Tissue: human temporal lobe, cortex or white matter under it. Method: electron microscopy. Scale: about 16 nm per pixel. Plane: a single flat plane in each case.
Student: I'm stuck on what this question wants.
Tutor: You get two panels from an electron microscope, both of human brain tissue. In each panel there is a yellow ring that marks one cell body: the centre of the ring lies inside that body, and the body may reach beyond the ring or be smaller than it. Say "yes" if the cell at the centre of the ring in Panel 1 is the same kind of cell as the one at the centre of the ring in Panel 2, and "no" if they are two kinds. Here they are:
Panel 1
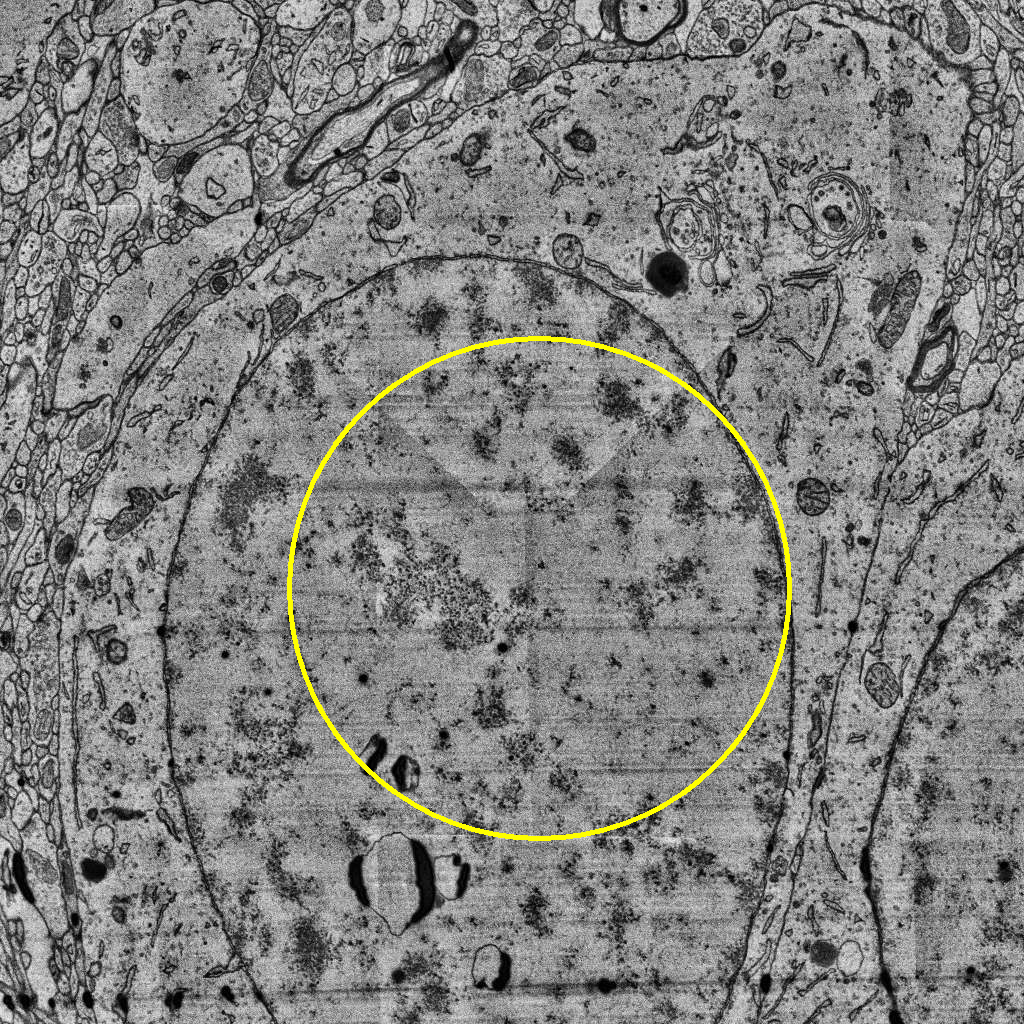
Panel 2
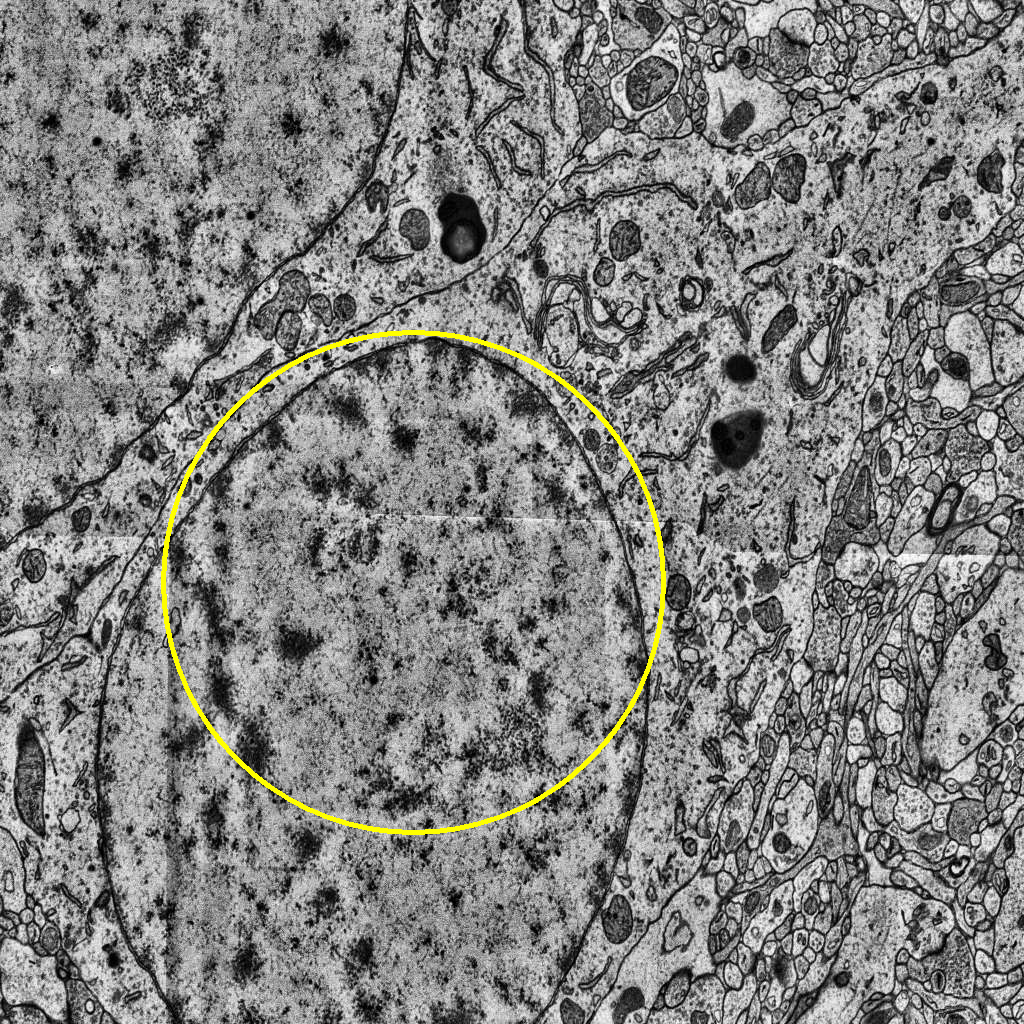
yes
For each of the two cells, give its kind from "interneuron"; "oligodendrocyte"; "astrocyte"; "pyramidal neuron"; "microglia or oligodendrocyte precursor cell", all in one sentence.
The cell at the ring centre is a pyramidal neuron in both pictures.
